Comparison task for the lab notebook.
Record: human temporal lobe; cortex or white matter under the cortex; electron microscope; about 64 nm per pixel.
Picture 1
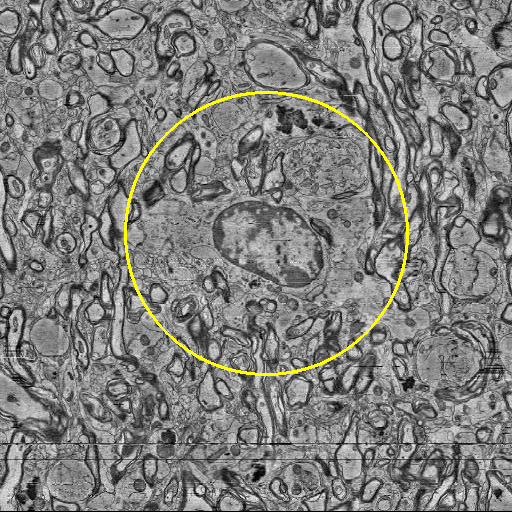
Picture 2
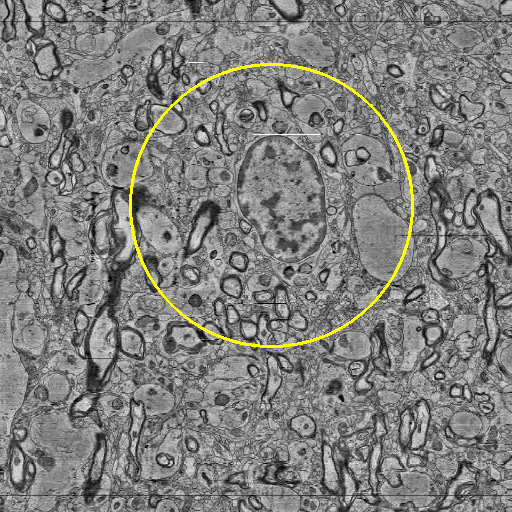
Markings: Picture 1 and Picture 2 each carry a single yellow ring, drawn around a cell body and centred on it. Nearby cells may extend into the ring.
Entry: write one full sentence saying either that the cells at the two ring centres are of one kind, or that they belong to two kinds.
The cells sitting at the ring centres in Picture 1 and Picture 2 are of one kind.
